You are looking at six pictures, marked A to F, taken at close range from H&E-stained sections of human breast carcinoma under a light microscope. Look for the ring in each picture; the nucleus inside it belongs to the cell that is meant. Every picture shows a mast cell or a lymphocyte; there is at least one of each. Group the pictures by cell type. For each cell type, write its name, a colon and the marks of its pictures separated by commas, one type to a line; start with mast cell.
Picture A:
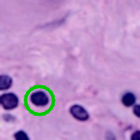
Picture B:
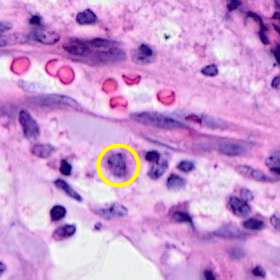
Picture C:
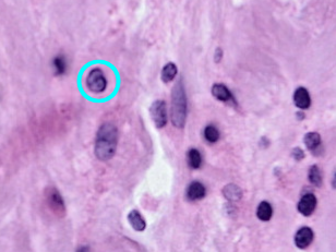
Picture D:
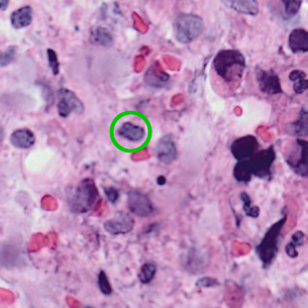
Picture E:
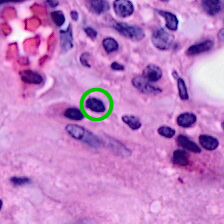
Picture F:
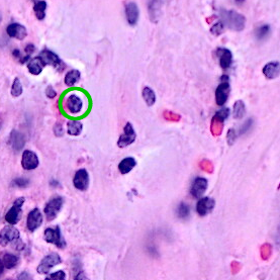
mast cell: B, D
lymphocyte: A, C, E, F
